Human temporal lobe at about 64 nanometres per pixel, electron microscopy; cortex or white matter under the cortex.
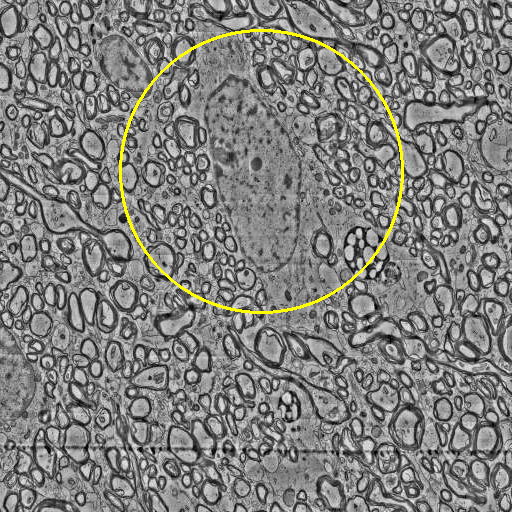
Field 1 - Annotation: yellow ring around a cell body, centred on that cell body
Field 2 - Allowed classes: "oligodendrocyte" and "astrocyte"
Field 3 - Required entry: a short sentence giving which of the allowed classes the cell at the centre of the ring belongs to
The centred cell is an astrocyte.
